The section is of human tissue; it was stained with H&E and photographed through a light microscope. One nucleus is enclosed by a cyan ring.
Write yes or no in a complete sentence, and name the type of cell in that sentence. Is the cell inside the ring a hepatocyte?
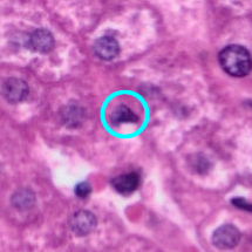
No, as a cell type, the cell inside the ring is an endothelial cell rather than a hepatocyte.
